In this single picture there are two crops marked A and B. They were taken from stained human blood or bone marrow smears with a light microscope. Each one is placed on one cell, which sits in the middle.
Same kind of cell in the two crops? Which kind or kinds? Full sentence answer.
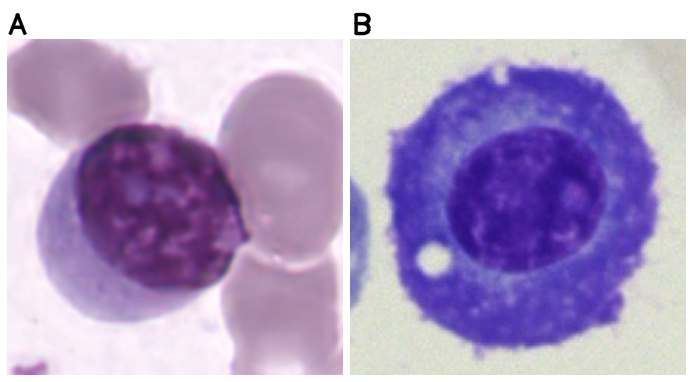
Yes, plasma cells are the central cells in the two crops.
